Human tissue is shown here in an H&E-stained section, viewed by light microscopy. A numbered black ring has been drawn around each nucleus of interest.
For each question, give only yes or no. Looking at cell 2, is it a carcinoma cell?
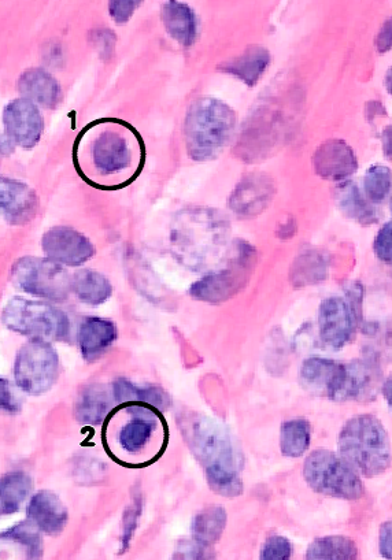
no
